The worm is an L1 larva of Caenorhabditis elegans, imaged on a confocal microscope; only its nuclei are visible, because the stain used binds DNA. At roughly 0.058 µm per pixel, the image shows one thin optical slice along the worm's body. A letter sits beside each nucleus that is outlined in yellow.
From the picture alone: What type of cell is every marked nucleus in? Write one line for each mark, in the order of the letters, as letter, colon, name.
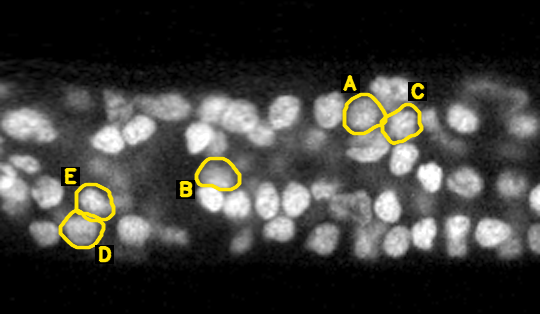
A: neuron
B: GLR cell
C: pharyngeal muscle cell
D: neuron
E: neuron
